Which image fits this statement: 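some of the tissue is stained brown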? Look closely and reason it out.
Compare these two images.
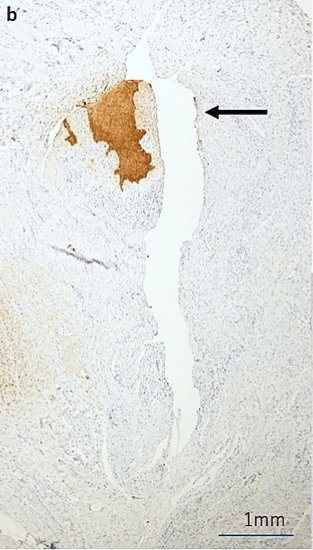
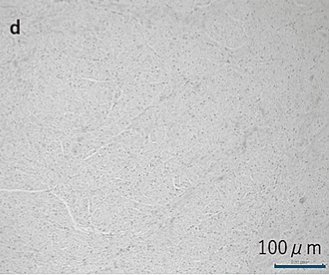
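The first image. Second image: the whole field is pale grey with no brown stain. First image: a dense brown-stained patch lies beside the lumen in the upper part.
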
